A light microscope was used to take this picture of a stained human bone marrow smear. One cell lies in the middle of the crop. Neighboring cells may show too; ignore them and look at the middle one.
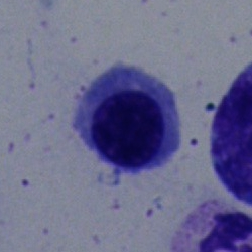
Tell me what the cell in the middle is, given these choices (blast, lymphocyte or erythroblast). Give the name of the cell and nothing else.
erythroblast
